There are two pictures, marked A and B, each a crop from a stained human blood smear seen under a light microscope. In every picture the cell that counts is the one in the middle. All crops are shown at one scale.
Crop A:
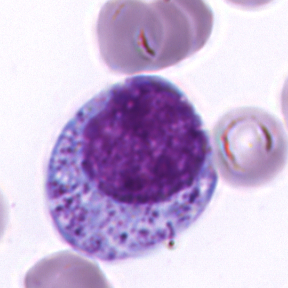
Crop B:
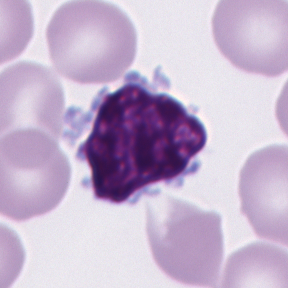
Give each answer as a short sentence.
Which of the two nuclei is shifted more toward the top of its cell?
In crop A the nucleus is shifted more toward the top.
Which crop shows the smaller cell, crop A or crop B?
It is the cell in crop B; the cell in crop A has about 2 times its area.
